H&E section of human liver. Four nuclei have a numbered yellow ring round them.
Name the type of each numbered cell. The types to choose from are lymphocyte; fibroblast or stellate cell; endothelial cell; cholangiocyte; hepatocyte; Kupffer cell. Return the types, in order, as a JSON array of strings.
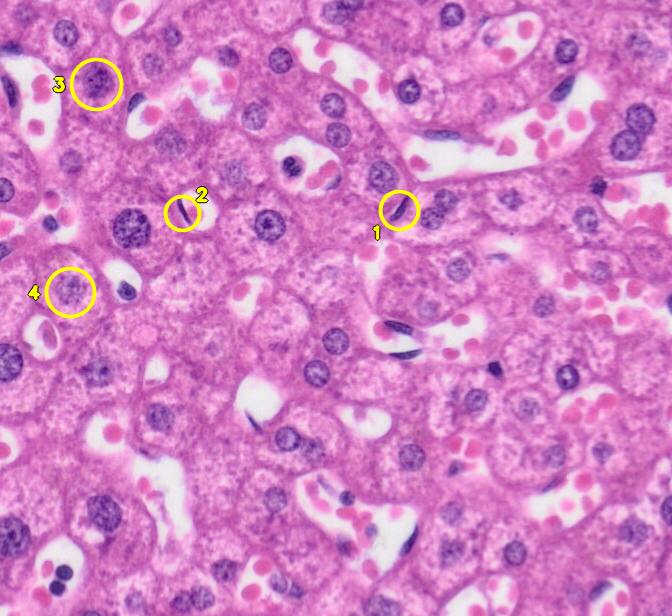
["fibroblast or stellate cell", "endothelial cell", "hepatocyte", "hepatocyte"]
